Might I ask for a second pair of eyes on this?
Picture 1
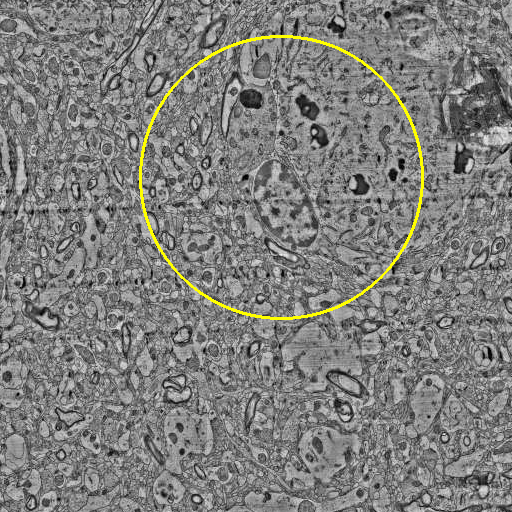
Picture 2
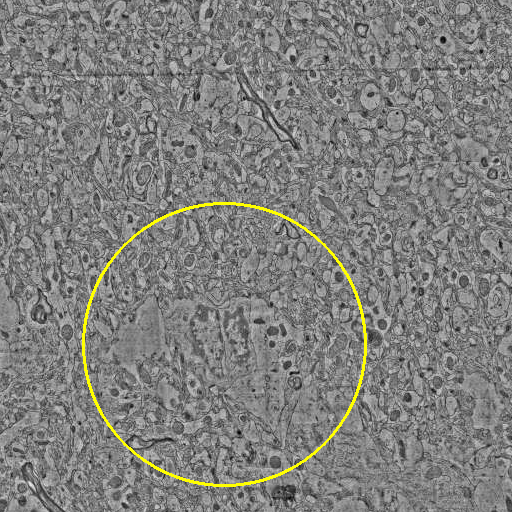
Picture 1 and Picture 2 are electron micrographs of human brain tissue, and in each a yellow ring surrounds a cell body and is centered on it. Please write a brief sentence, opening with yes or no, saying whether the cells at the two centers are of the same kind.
Yes, the cells are of the same kind.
